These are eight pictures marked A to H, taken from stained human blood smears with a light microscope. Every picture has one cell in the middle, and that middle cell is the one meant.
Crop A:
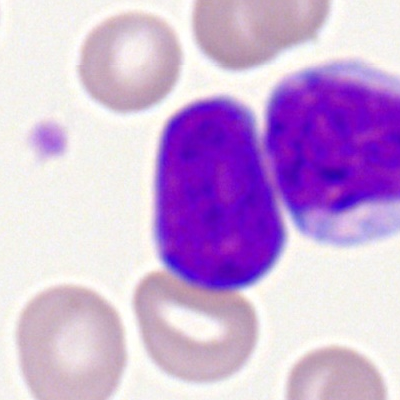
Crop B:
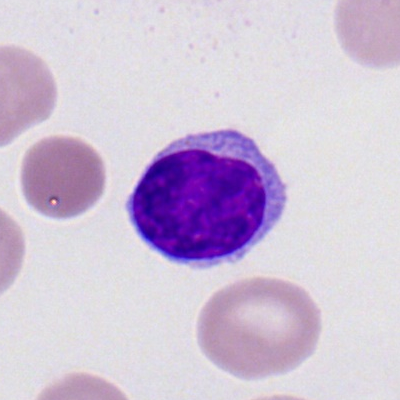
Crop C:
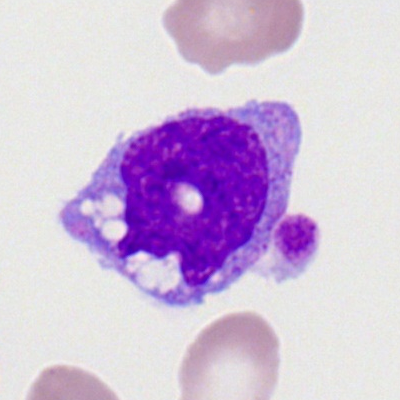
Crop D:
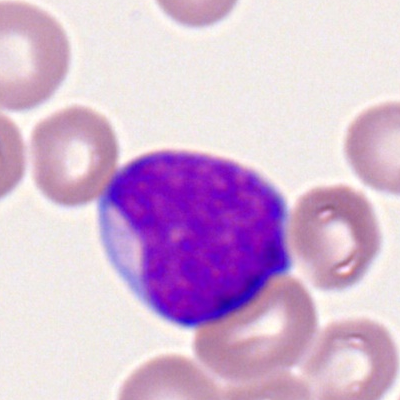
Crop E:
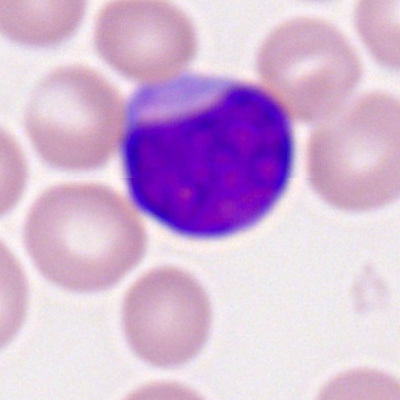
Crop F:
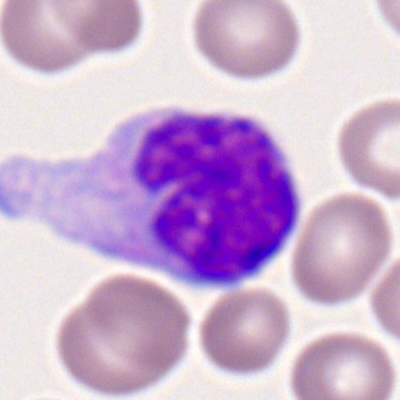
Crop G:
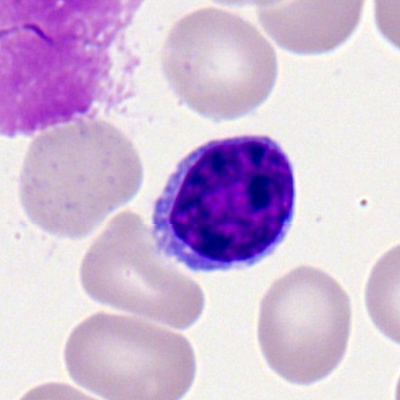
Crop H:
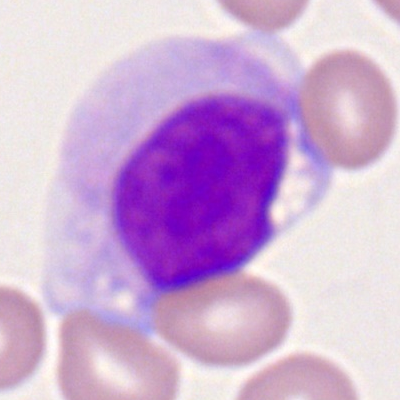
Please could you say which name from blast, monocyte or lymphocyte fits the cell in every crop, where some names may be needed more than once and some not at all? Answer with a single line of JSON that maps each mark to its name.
{"A": "blast", "B": "lymphocyte", "C": "monocyte", "D": "blast", "E": "blast", "F": "monocyte", "G": "lymphocyte", "H": "monocyte"}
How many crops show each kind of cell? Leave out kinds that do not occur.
blast: 3
monocyte: 3
lymphocyte: 2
